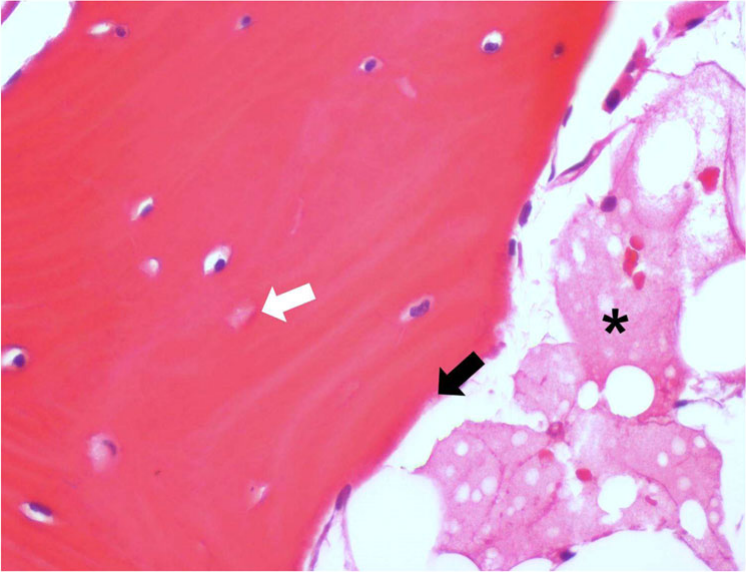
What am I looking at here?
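This high-power view shows a bone lamella with its osteocytes in lacunae, bordered on the right by the intertrabecular space. The bone matrix is dense, homogeneous and strongly pink, with faint parallel lamellar lines, and holds scattered small lacunae; most contain a dark, compact osteocyte nucleus, some look widened around the nucleus, and at least one appears as an empty pale gap. The bone surface facing the space is largely bare, without a continuous row of lining cells or plump osteoblasts. The space beside the bone is filled not by the usual large empty fat cells but by pale pink, amorphous, finely vacuolated material, among which only a few large clear round spaces and a few red blood cells remain. A few thin, flat nuclei lie at the edge of the bone and within the space.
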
